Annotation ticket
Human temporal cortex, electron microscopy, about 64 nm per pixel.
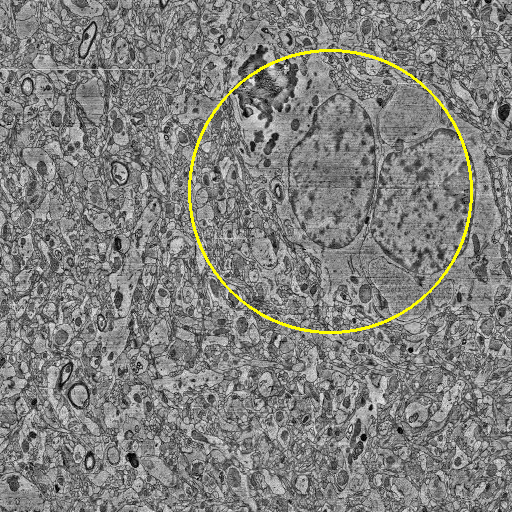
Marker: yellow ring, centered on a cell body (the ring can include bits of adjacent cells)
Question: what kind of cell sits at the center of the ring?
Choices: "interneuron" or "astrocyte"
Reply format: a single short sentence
The ring is centered on an astrocyte.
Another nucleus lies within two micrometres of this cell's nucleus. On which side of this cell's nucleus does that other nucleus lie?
The other one lies to the right of it.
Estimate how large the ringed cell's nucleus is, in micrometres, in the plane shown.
The nucleus of the ringed cell is clearly longer than it is wide in this plane, about 10 by 6 micrometres.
